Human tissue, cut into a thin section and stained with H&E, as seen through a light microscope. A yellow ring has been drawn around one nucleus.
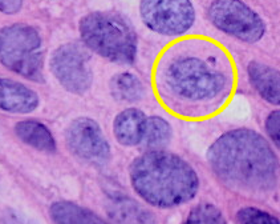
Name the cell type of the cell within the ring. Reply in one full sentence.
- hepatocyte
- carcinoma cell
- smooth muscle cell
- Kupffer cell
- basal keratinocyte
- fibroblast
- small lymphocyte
Cell type answer for this item: the cell within the ring is a carcinoma cell.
